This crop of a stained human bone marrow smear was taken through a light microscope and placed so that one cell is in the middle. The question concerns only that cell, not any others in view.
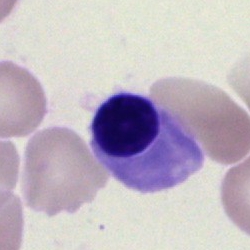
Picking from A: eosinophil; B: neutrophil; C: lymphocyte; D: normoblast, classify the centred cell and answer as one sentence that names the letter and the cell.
Identified correctly by option D, the cell in the middle is a normoblast.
